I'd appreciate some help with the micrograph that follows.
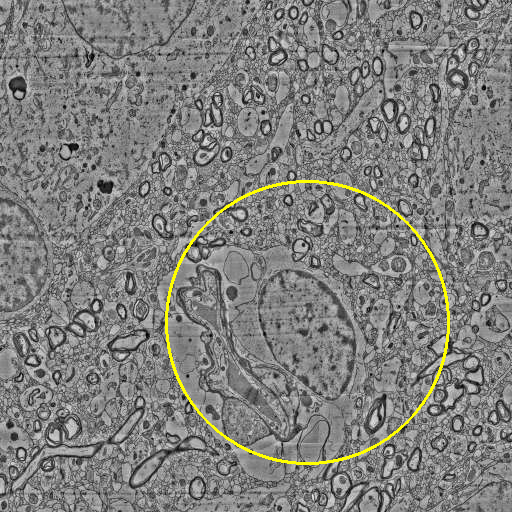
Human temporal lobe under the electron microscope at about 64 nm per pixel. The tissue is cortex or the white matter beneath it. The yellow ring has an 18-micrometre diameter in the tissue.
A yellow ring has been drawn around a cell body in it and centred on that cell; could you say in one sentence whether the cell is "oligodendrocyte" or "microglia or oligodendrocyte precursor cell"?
It is a microglial cell or oligodendrocyte precursor cell at the centre of the ring.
